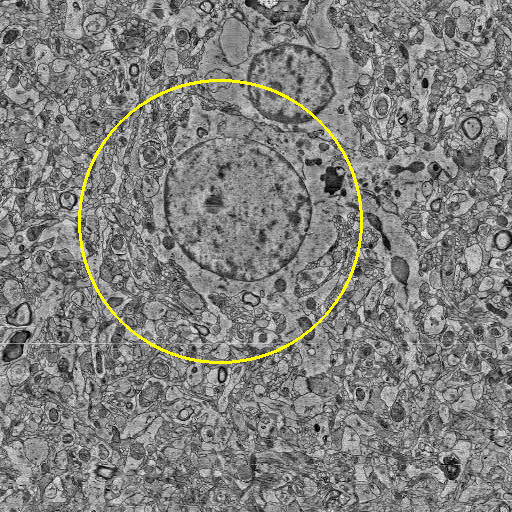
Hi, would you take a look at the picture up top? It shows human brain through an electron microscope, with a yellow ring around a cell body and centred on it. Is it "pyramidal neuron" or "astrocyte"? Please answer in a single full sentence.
The best fit for the cell in the middle of the ring is an astrocyte, I reckon.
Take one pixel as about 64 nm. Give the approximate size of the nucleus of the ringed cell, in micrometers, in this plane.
In this plane, the nucleus of the cell at the centre of the ring is about 10 micrometres across.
